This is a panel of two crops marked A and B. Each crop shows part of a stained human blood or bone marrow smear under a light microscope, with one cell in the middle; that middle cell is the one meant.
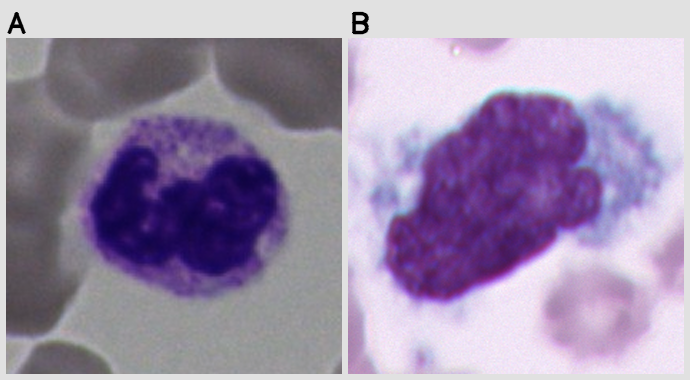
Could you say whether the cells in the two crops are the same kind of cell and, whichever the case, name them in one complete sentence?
No, crop A matches a segmented neutrophil and crop B matches a monocyte.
